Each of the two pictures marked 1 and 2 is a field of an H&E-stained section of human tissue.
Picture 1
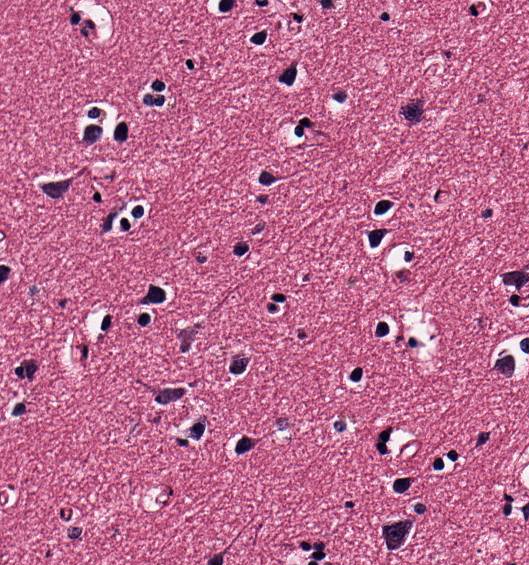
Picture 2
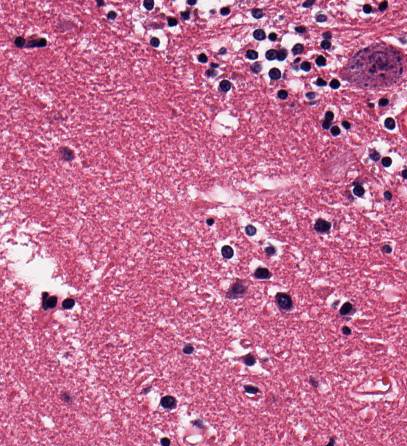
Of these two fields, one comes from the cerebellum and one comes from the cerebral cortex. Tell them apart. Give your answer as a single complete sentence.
Picture 1 comes from the cerebral cortex and picture 2 comes from the cerebellum.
